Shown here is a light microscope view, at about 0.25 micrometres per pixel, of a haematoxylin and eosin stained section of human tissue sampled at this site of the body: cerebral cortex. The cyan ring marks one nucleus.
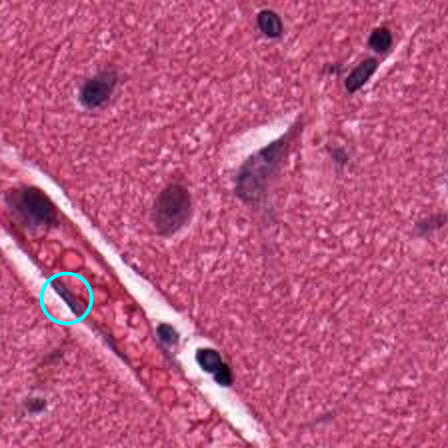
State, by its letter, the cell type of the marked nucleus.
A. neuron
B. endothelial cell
B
